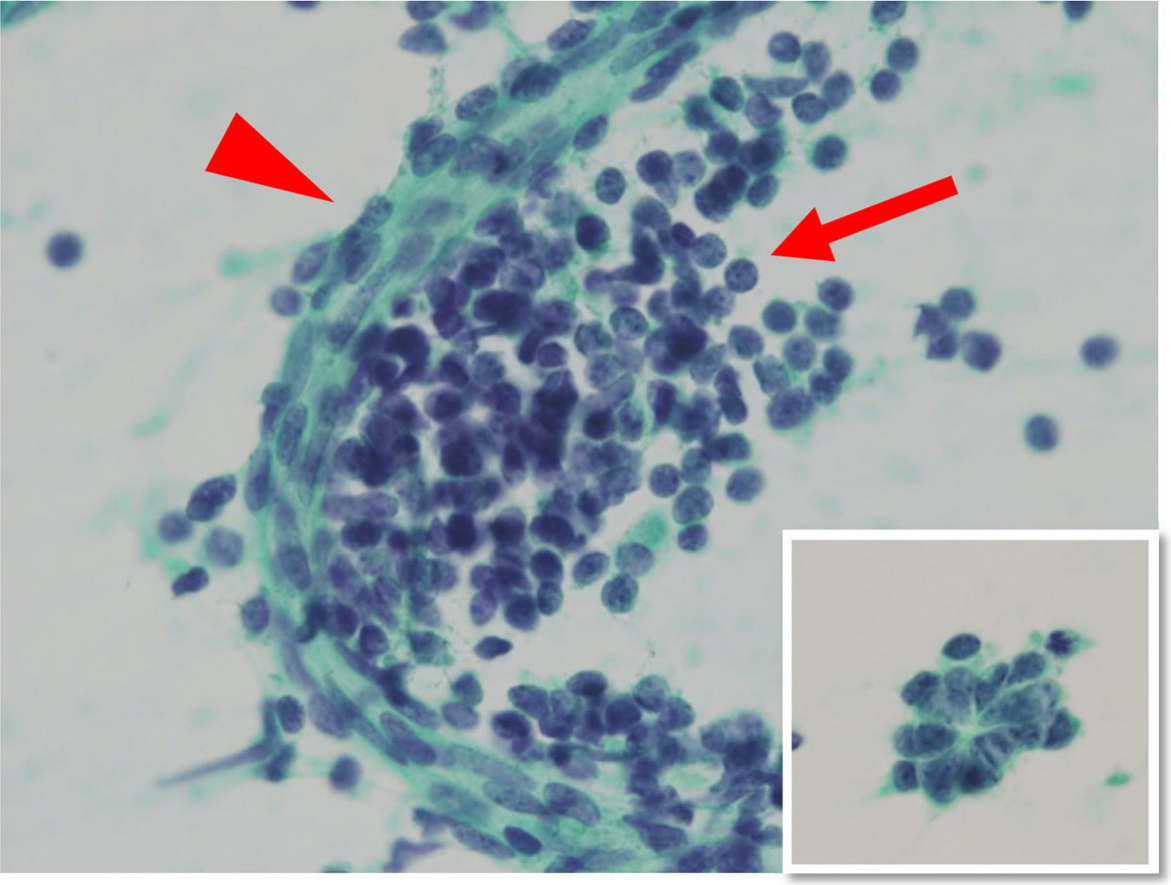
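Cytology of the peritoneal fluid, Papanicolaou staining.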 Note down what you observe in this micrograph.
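A curved band of stromal cells has elongated, spindle-shaped nuclei and green, drawn-out cytoplasm lying in parallel, fibroblast-like. Inside the curve lies a dense mass of small blastemal cells with round, dark blue nuclei and scant cytoplasm. At its edge these cells are loosely held and many lie singly in the background. In the framed inset a small cohesive group of epithelial cells with oval nuclei is arranged radially around a central point, forming a tubular structure.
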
